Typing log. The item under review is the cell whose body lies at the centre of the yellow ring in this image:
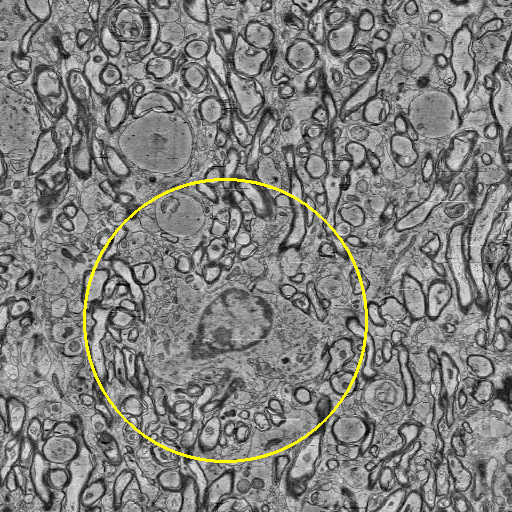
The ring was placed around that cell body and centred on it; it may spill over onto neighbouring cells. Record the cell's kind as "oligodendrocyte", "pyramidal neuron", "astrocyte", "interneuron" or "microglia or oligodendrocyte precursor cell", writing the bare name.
microglia or oligodendrocyte precursor cell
